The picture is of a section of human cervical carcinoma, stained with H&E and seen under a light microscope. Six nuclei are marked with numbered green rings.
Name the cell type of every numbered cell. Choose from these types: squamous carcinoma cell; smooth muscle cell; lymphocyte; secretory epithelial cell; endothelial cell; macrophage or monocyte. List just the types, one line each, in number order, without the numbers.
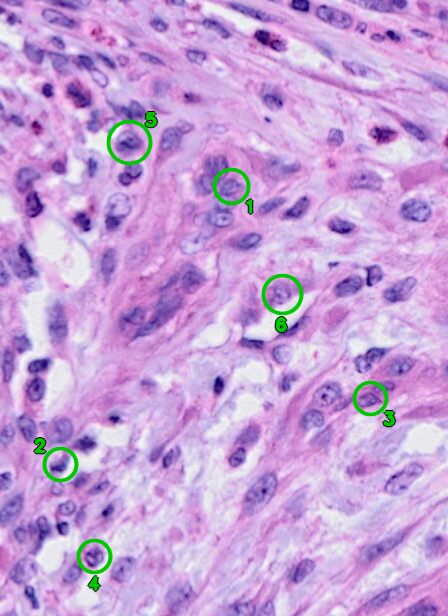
endothelial cell
lymphocyte
endothelial cell
lymphocyte
macrophage or monocyte
endothelial cell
